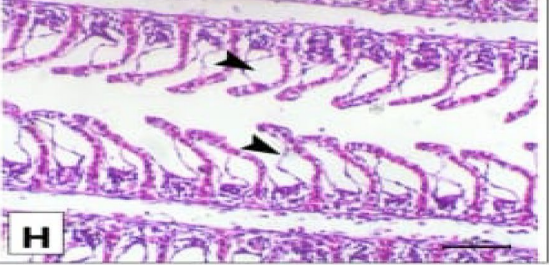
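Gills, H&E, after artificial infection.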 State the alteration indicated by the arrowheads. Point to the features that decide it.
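The thin cell layer covering the lamellae stands away from the lamellar core. Clear spaces separate the outer layer from the core along many lamellae.
Conclusion: diffuse lifting of the covering epithilium of the secondary lamellae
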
